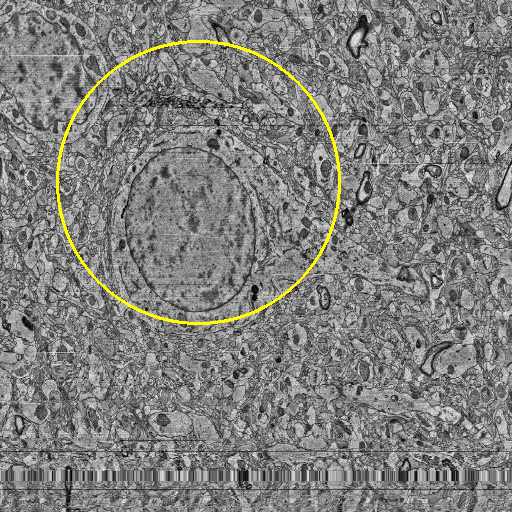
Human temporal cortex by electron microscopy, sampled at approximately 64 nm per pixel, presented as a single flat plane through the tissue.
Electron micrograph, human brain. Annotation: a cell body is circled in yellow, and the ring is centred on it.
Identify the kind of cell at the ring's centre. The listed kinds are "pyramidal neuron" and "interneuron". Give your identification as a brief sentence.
The circled cell body is that of a pyramidal neuron.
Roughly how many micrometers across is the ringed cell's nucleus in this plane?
Approximately 11 by 8 micrometers in this plane.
